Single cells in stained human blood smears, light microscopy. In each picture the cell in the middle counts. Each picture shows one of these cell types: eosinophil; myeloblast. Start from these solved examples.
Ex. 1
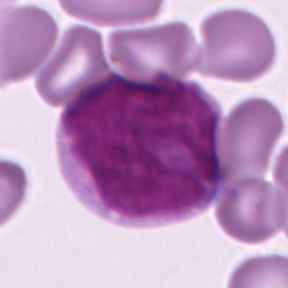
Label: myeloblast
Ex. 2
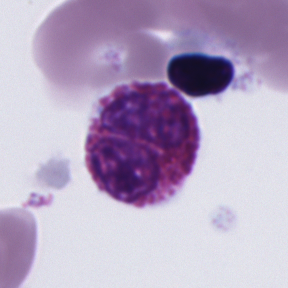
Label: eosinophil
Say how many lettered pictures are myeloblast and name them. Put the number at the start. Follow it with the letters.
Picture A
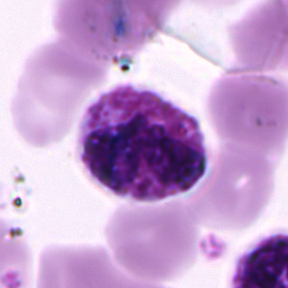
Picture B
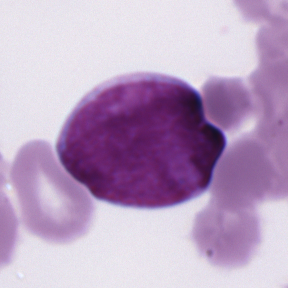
Count: 1 (B)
